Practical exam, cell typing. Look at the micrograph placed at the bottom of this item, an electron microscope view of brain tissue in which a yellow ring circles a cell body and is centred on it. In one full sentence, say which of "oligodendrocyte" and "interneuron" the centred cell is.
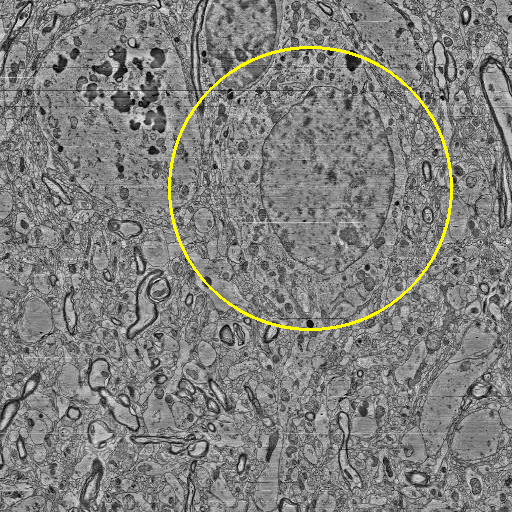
Given the options, an interneuron fits the cell whose body the yellow ring is centred on.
